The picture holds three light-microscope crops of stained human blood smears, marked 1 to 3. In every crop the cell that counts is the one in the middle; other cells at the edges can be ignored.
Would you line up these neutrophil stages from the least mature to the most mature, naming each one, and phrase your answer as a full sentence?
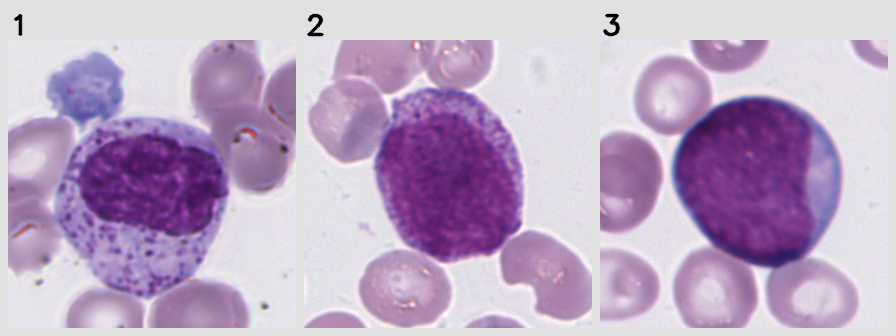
The order of the crops by rising maturity is crop 3 (a myeloblast), crop 2 (a promyelocyte) and crop 1 (a myelocyte).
